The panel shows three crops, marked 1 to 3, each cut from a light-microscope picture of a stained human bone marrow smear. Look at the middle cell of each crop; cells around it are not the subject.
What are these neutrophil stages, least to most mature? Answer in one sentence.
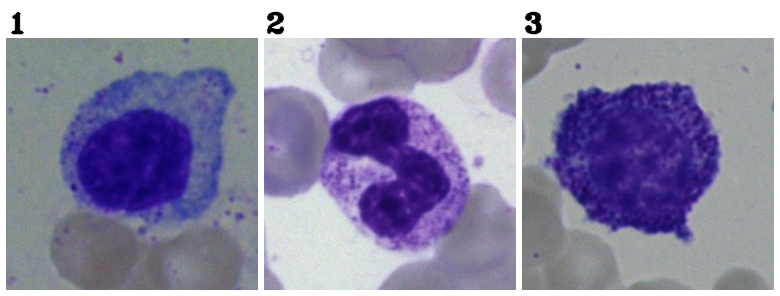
Arranging the cells from least to most mature gives crop 3 (a promyelocyte), crop 1 (a myelocyte) and crop 2 (a band neutrophil).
